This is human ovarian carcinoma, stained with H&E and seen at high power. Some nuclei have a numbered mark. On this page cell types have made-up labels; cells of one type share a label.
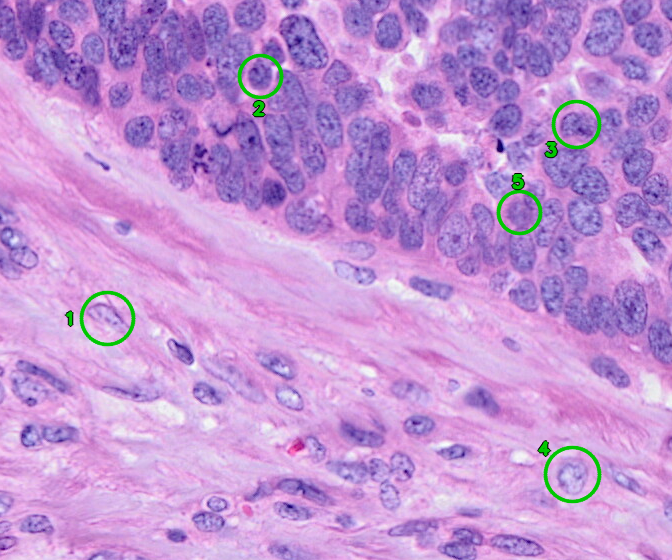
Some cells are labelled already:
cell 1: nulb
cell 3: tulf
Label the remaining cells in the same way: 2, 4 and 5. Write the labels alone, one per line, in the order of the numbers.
tulf
nulb
tulf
